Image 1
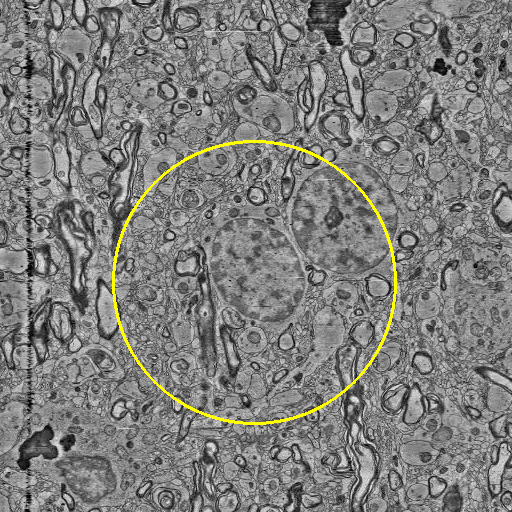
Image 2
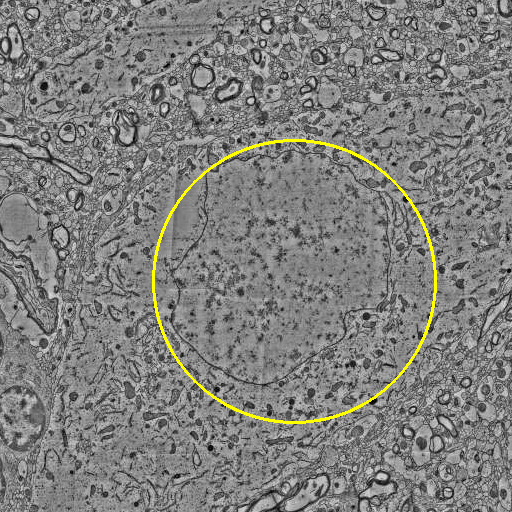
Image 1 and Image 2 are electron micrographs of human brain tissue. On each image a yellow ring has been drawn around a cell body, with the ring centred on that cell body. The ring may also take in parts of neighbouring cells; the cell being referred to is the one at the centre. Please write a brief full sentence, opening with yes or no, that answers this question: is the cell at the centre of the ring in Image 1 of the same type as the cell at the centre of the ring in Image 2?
No, the two cells are of two types.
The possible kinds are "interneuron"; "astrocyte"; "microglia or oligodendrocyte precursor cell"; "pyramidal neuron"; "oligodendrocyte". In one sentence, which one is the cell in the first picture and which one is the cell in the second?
The cell ringed in the second picture is a pyramidal neuron, whereas the one ringed in the first is an oligodendrocyte.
